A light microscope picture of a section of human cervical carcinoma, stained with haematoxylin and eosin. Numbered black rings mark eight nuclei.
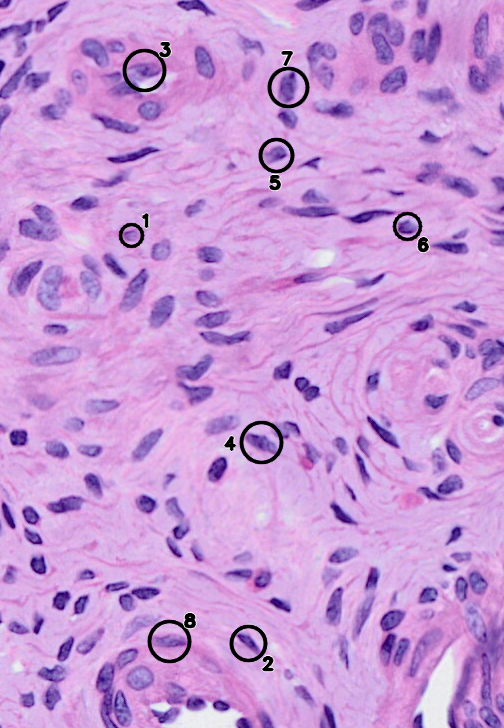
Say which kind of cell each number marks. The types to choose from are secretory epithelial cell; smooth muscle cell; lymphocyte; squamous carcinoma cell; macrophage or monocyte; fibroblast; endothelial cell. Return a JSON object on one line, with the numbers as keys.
{"1": "smooth muscle cell", "2": "fibroblast", "3": "endothelial cell", "4": "fibroblast", "5": "fibroblast", "6": "fibroblast", "7": "fibroblast", "8": "smooth muscle cell"}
